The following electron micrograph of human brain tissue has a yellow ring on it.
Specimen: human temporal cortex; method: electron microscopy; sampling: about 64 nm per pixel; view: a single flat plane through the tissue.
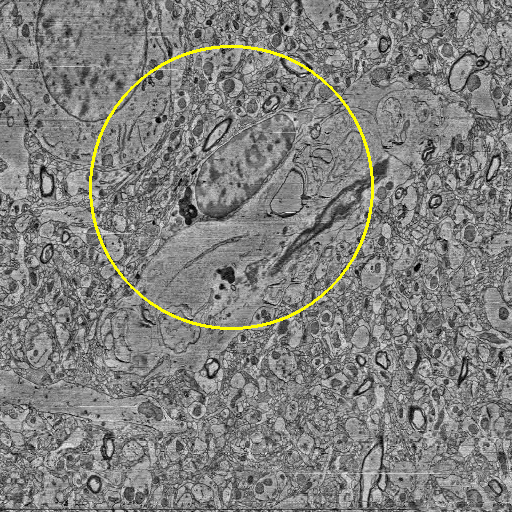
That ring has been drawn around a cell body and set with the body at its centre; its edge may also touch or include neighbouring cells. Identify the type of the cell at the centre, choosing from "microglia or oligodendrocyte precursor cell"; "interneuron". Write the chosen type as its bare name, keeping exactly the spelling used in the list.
microglia or oligodendrocyte precursor cell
